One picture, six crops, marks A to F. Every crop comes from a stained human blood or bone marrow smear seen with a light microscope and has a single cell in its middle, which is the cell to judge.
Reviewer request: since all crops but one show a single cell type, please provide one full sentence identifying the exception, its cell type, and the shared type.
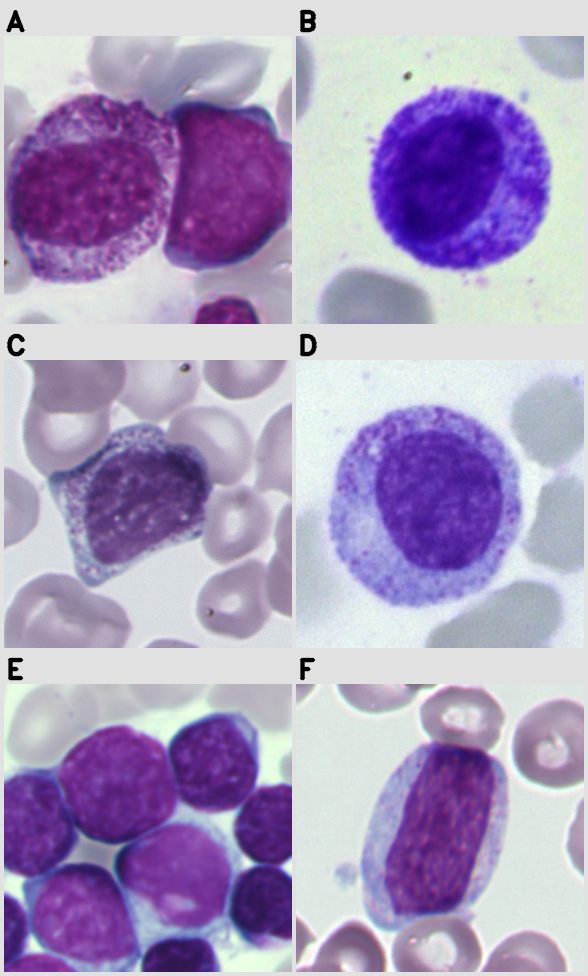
Crop E stands apart as a blast, whereas the remaining crops all show myelocytes.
